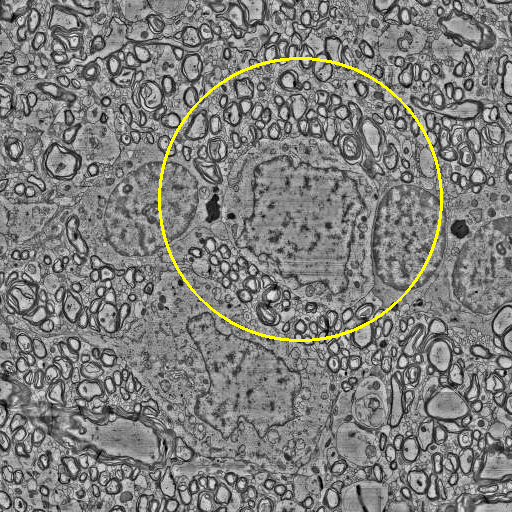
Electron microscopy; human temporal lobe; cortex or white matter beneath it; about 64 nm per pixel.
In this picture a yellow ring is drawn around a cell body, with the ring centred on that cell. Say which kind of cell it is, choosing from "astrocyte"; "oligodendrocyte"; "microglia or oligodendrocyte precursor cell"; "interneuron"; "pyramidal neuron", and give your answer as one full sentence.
Here it is an interneuron that sits at the centre of the drawn yellow ring.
